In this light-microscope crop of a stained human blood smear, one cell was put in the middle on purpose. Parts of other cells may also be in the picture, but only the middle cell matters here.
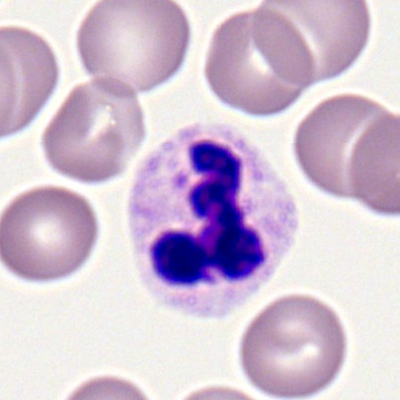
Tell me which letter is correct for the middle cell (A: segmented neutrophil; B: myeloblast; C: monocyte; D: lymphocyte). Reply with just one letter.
A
